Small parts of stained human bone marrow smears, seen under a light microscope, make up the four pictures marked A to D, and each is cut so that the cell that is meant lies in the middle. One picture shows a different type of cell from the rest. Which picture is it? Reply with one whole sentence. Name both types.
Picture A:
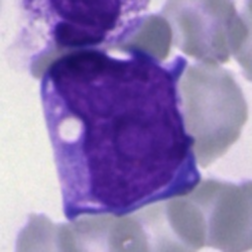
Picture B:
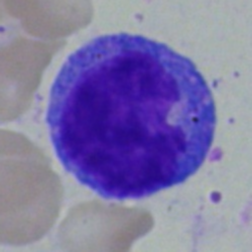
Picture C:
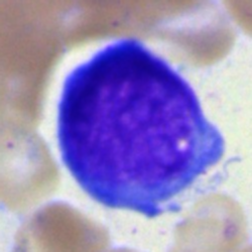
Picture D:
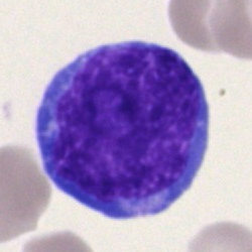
Picture B is the odd one out: it shows a promyelocyte, while the others show blasts.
